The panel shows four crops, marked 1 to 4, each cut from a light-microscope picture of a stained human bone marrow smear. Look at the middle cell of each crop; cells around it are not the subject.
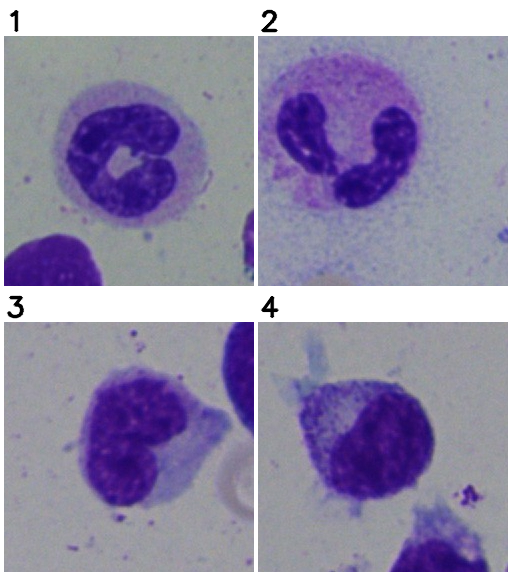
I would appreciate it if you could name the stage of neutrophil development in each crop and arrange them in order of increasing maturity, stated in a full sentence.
Ordered by maturation stage, least mature first, these are crop 4 (a myelocyte), crop 3 (a metamyelocyte), crop 1 (a band neutrophil) and crop 2 (a segmented neutrophil).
